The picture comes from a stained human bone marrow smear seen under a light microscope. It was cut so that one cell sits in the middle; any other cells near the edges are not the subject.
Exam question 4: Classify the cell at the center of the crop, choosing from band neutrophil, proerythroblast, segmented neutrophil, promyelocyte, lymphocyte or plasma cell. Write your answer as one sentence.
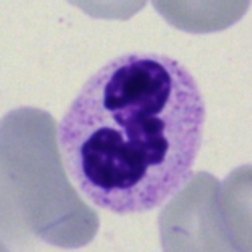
As for the central cell, it is a segmented neutrophil.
